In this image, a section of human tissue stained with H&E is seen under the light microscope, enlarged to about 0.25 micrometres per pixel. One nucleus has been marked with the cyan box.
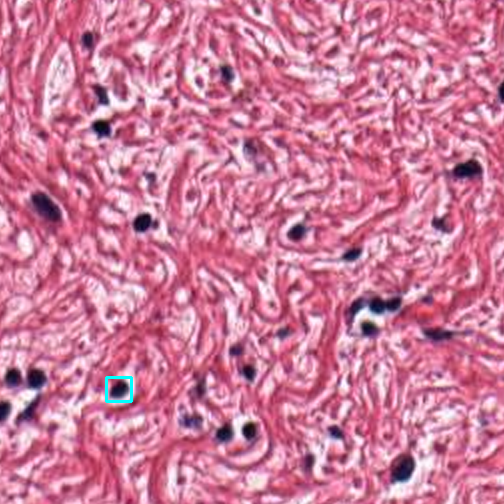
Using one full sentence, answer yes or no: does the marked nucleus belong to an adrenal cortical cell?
No, the marked nucleus belongs to a supporting cell, and an adrenal cortical cell is not its owner.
